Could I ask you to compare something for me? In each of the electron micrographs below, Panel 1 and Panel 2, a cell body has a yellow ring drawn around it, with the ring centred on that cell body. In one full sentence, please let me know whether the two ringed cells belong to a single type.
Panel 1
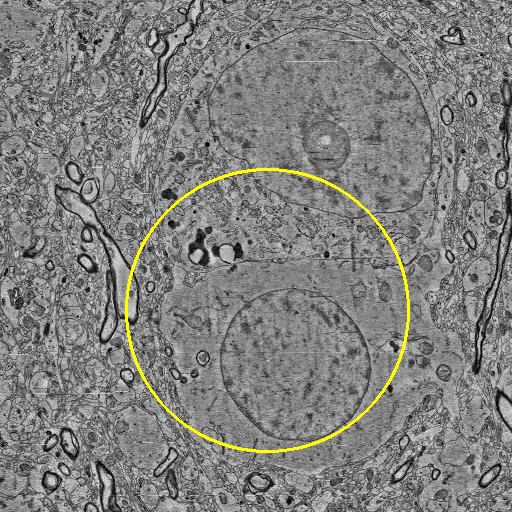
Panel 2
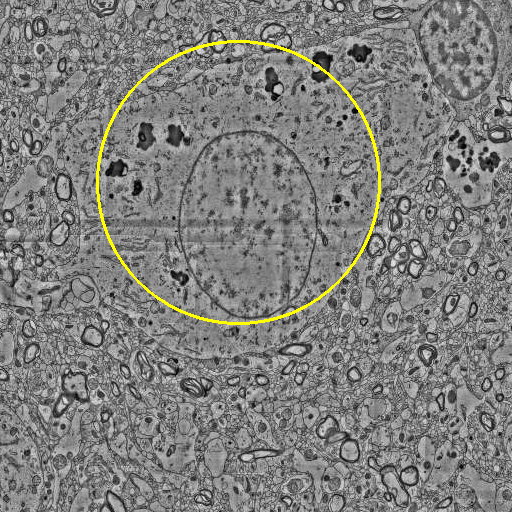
No, the two cells at the centres of the rings are of two types.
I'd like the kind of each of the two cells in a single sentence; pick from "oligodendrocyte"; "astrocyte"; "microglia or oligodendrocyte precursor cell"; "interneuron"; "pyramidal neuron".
The first ring marks an astrocyte, and the second ring marks a pyramidal neuron.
